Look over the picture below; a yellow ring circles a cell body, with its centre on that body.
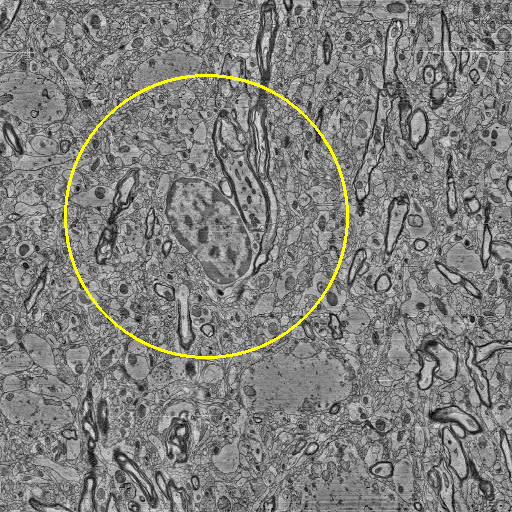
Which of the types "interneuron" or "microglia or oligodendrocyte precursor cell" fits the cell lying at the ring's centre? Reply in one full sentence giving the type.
The picture shows a microglial cell or oligodendrocyte precursor cell at the centre of the yellow ring.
